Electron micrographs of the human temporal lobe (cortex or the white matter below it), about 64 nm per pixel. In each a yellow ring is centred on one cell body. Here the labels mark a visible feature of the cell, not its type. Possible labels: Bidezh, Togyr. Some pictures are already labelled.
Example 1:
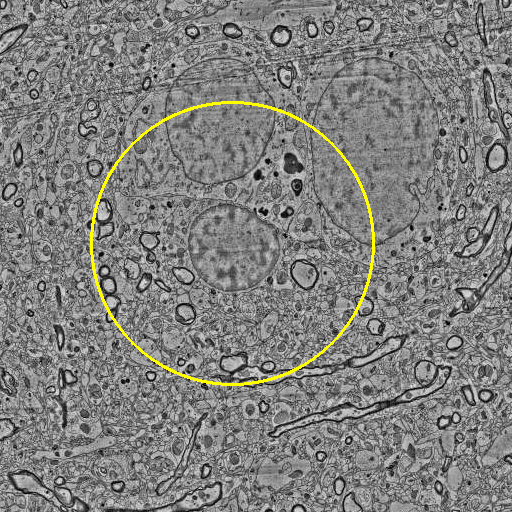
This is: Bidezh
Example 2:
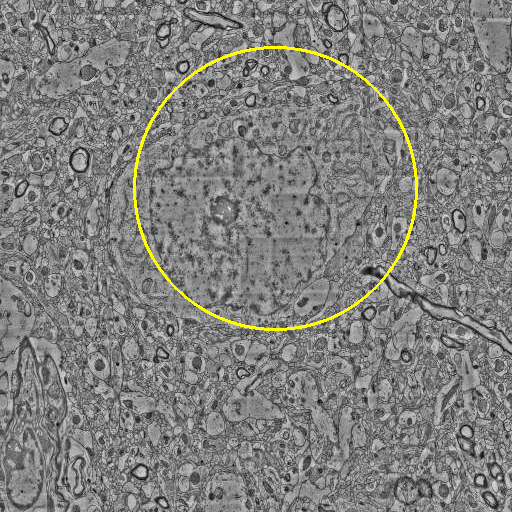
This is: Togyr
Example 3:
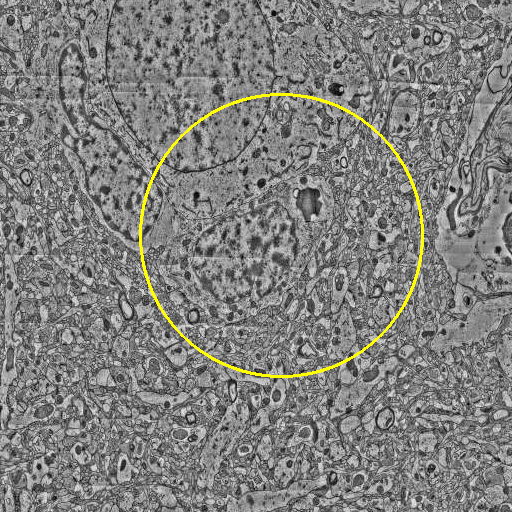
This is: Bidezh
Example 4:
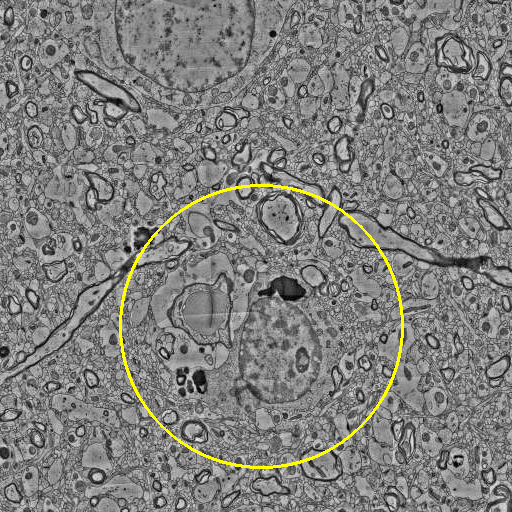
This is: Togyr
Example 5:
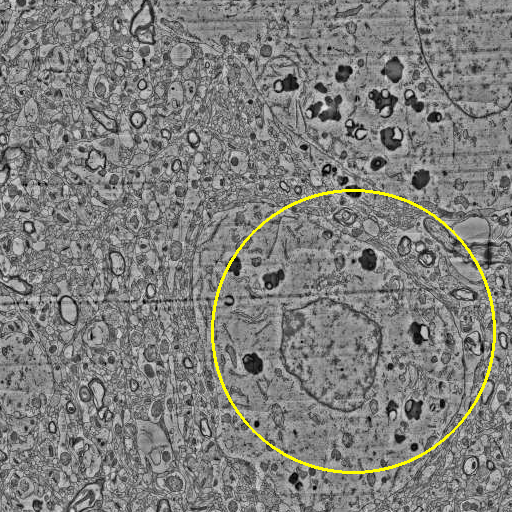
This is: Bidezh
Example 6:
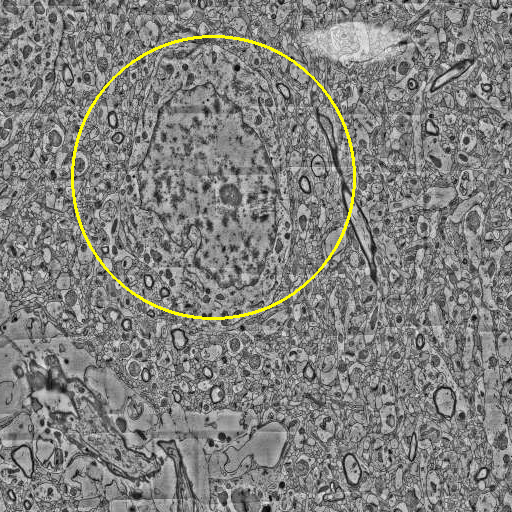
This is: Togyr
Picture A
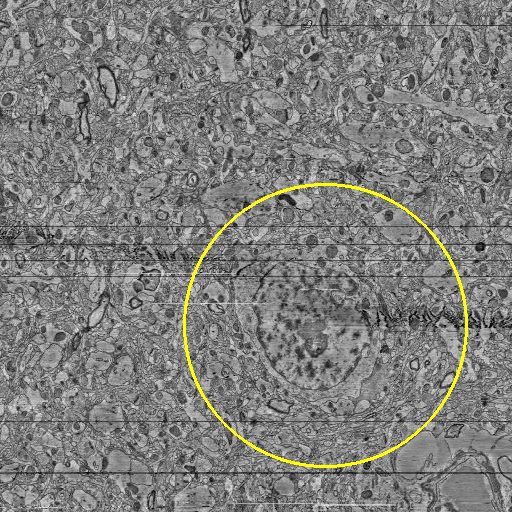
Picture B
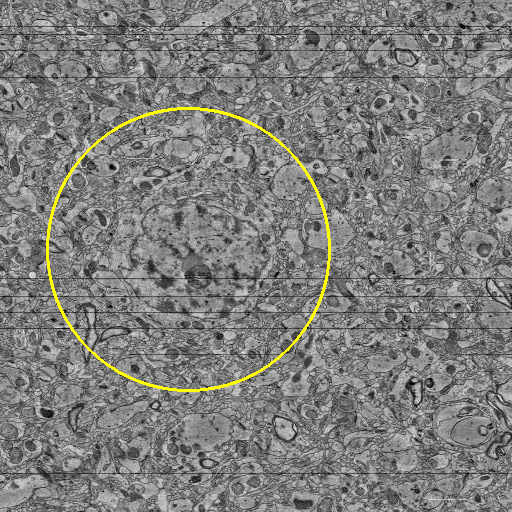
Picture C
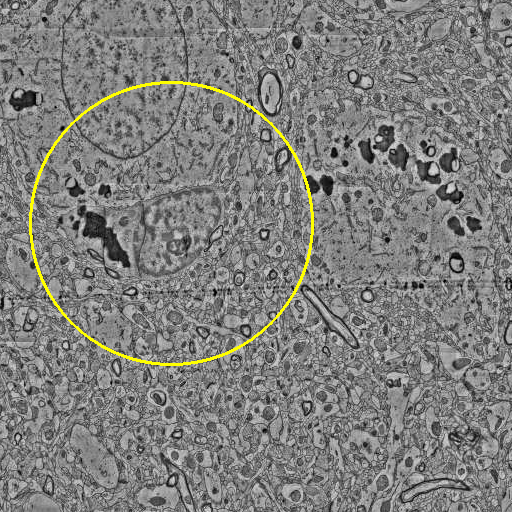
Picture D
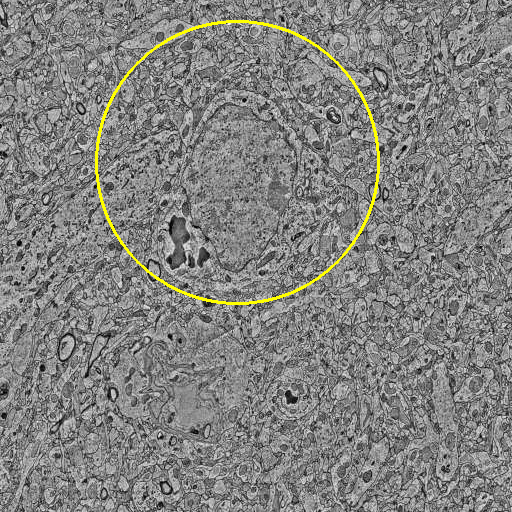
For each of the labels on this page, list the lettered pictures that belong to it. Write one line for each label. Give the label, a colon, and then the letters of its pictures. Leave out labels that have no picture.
Bidezh: D
Togyr: A, B, C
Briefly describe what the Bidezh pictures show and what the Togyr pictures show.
Bidezh, no nucleolus seen; Togyr, nucleolus seen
